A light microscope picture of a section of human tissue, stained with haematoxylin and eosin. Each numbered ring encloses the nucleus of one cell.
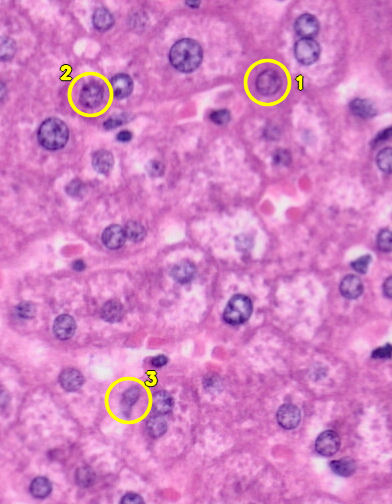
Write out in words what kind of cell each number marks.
Cell 1 is a hepatocyte, cell 2 is a hepatocyte and cell 3 is a Kupffer cell.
